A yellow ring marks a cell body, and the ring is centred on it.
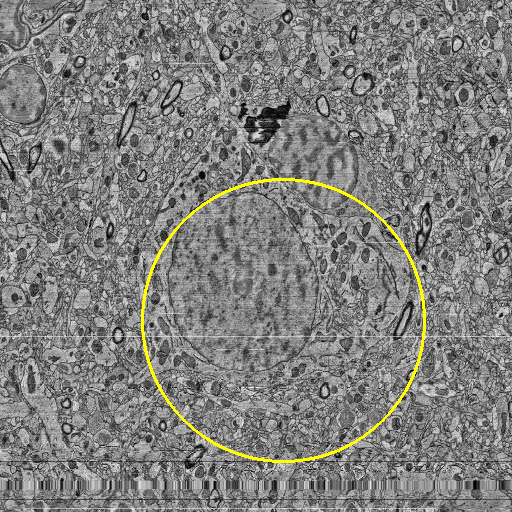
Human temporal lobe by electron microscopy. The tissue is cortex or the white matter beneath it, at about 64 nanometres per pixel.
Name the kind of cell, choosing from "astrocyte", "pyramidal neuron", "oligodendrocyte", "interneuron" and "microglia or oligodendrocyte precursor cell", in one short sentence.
The marked cell body belongs to an interneuron.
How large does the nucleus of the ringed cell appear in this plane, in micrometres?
The nucleus is approximately 12 micrometers long by 10 micrometers wide in this plane.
